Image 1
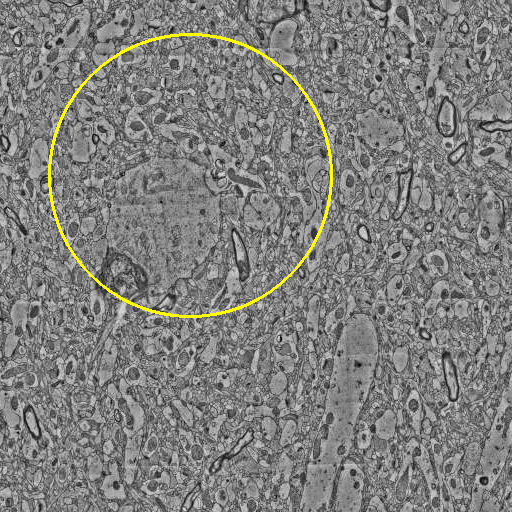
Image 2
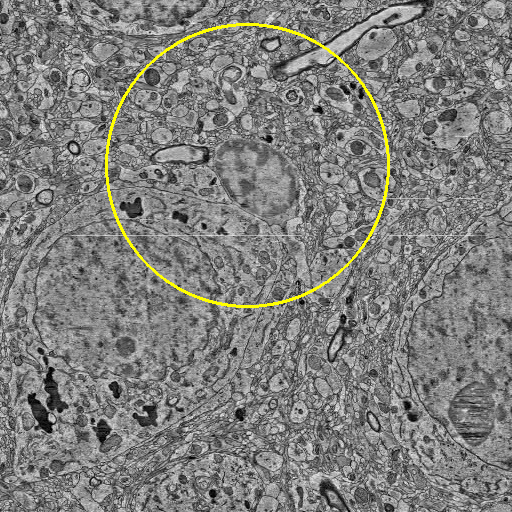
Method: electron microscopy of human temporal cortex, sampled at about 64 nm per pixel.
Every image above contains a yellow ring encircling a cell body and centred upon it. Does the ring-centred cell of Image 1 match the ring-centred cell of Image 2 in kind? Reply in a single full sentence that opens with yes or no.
No, the cell at the ring's centre in Image 1 is a separate kind from that in Image 2.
